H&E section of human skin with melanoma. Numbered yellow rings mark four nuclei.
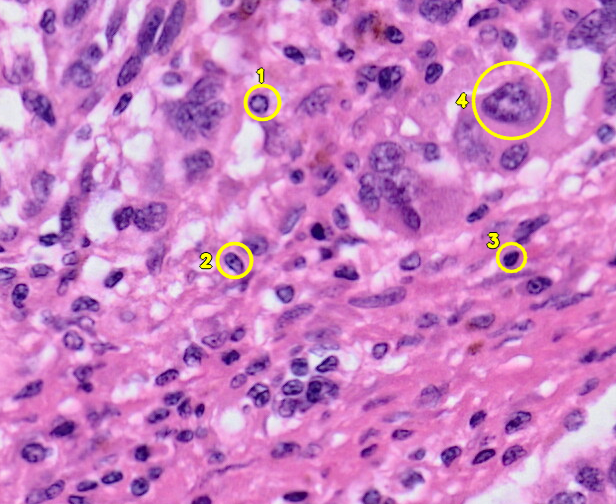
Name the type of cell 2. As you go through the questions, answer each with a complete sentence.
Corresponding to a lymphocyte is the cell labelled 2.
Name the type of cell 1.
The nucleus marked 1 is the nucleus of a lymphocyte.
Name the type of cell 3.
Regarding cell 3, this one is a plasma cell.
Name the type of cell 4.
The cell indicated by marker 4 is a melanoma cell in this section.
